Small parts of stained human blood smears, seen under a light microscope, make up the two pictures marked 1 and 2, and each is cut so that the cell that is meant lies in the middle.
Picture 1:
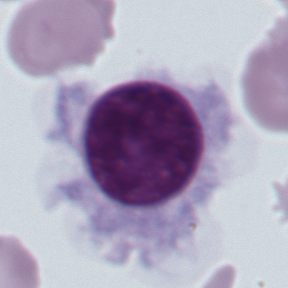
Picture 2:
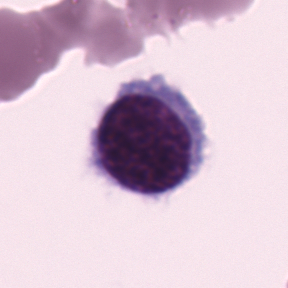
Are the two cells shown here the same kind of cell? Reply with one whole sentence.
Yes, the two pictures both show hairy cells.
